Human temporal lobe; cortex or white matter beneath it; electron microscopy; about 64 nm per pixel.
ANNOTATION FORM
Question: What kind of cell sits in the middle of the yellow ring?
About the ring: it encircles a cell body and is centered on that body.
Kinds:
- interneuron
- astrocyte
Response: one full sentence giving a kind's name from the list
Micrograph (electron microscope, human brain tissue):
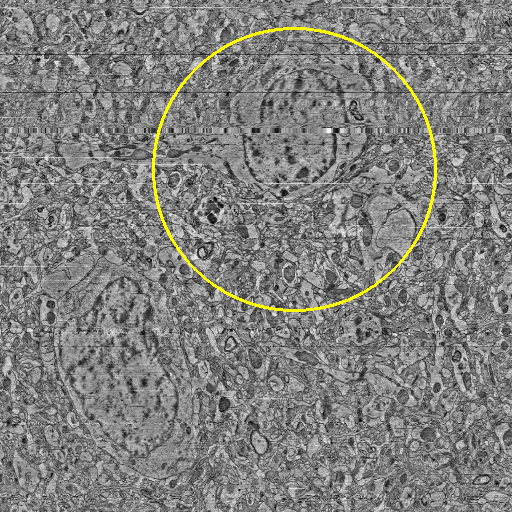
The kind of cell found at the center of the yellow ring in the micrograph is an astrocyte.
